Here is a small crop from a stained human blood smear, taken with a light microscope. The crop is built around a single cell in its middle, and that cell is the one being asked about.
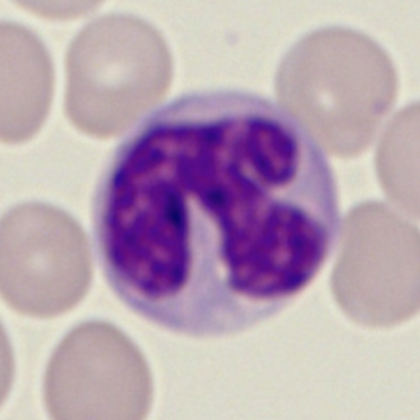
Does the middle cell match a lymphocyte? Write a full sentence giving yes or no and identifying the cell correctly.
No, the cell in the centre is a monocyte instead of a lymphocyte.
